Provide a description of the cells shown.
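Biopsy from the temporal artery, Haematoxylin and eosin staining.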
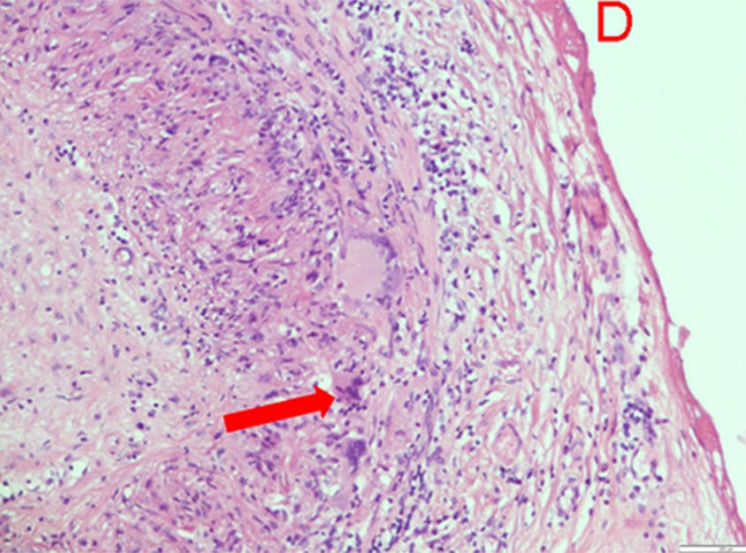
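The arterial wall is infiltrated by many mixed inflammatory cells, seen as small cells with dark, round purple nuclei scattered densely through pink fibrous tissue. Among them lie multinucleated giant cells, large cells with several nuclei grouped together in ample pink cytoplasm. The infiltrate is heaviest in a broad band across the middle of the wall and thins towards the loose, pale outer tissue at the right edge.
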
